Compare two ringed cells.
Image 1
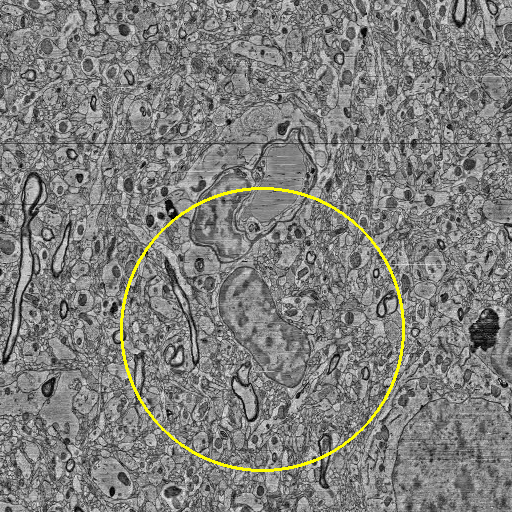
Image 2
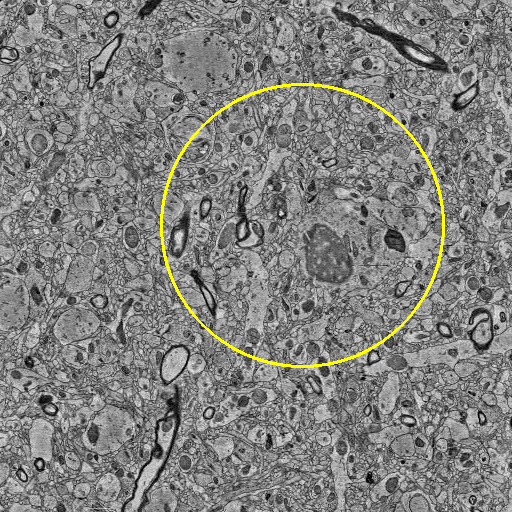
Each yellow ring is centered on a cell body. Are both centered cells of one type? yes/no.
no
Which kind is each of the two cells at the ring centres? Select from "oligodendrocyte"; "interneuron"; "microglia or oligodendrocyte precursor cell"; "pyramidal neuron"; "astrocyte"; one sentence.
The cell at the centre of the ring is a microglial cell or oligodendrocyte precursor cell in the first picture and an oligodendrocyte in the second.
